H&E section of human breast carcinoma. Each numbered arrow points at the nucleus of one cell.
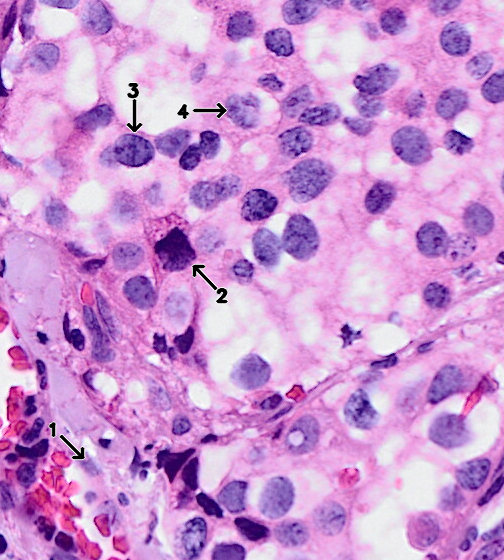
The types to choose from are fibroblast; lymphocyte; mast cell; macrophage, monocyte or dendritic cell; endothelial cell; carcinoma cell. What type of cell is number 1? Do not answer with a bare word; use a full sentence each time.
The marked cell with the number 1 is recognised as an endothelial cell.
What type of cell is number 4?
The cell identified by number 4 is a carcinoma cell.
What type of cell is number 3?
The cell numbered 3 has been identified as a carcinoma cell.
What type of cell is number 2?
The cell numbered 2 represents a carcinoma cell.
